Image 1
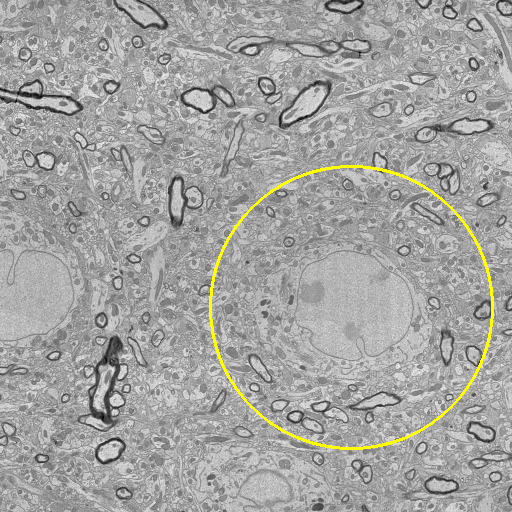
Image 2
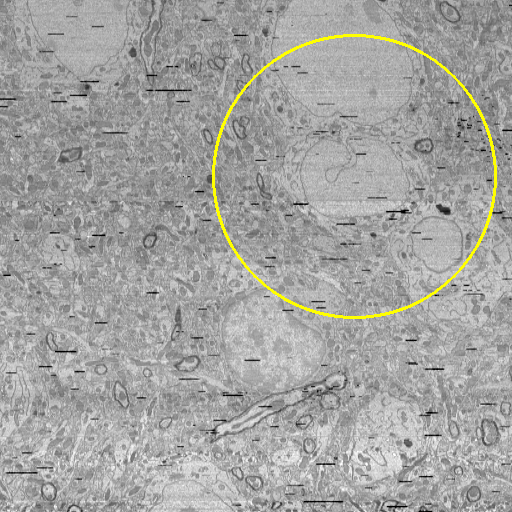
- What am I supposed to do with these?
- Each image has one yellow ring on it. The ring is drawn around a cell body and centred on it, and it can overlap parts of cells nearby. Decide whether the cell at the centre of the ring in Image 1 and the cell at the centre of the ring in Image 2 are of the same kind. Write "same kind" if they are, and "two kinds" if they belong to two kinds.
two kinds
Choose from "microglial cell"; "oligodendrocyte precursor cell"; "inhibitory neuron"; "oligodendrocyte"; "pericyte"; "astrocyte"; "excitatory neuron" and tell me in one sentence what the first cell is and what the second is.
What the first ring is centred on is an excitatory neuron; what the second ring is centred on is an inhibitory neuron.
